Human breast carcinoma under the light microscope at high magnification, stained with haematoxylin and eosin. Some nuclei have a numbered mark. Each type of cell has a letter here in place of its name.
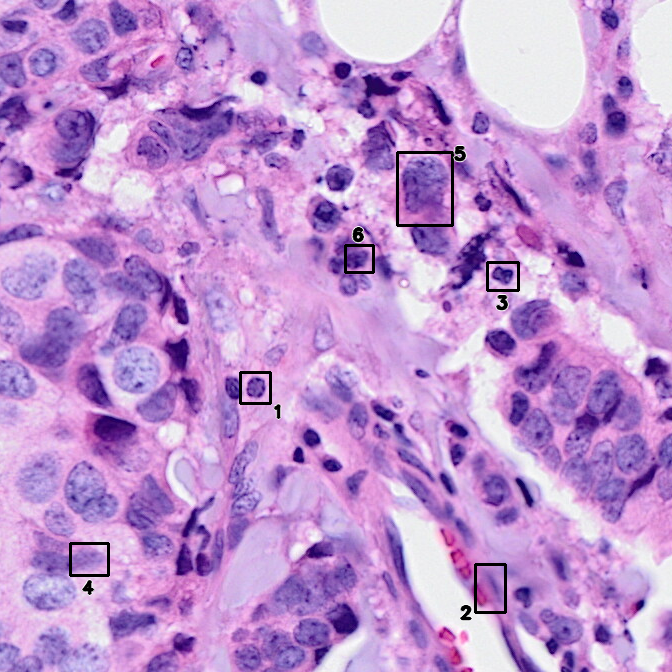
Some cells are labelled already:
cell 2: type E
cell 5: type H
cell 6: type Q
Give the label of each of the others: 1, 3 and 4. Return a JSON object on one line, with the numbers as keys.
{"1": "type Q", "3": "type Q", "4": "type H"}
